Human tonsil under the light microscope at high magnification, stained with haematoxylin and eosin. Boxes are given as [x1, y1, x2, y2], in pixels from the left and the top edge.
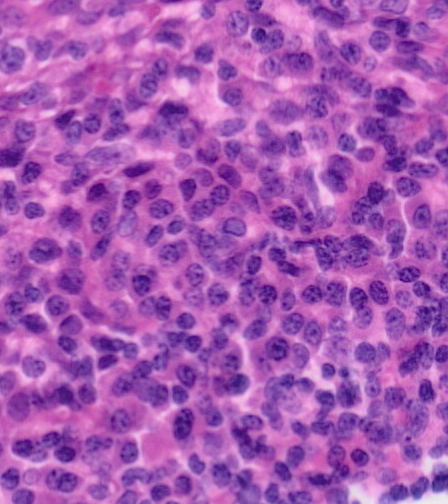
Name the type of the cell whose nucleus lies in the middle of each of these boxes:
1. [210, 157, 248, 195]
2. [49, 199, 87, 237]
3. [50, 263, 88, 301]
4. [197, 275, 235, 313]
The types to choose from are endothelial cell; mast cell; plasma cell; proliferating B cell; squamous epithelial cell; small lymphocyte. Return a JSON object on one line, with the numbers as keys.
{"1": "squamous epithelial cell", "2": "squamous epithelial cell", "3": "squamous epithelial cell", "4": "plasma cell"}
